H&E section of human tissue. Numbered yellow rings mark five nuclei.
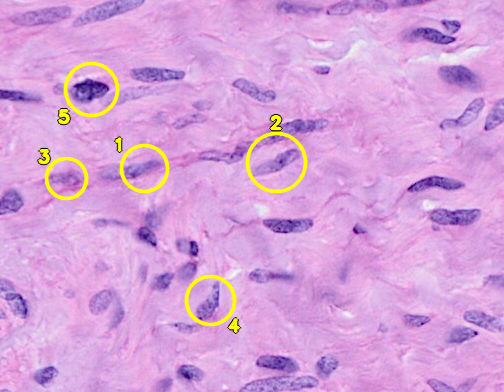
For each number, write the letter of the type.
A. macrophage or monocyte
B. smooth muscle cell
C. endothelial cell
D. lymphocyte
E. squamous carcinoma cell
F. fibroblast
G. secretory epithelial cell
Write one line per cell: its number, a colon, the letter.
1: B
2: F
3: B
4: F
5: D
